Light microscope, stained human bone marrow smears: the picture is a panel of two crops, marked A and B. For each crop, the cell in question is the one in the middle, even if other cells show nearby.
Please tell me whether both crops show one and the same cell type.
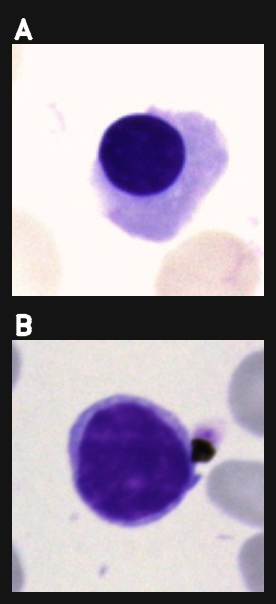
no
